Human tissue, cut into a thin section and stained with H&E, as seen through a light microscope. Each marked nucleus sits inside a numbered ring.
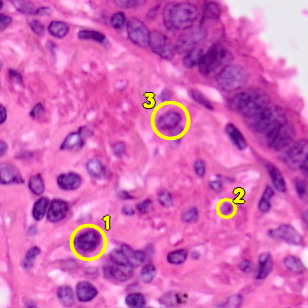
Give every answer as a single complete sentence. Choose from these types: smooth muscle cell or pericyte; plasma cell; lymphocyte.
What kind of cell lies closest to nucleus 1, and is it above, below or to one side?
Just above nucleus 1 lies the nearest nucleus, which belongs to a lymphocyte.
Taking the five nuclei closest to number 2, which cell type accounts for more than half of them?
The majority of the five nuclei closest to number 2 belong to smooth muscle cells or pericytes.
